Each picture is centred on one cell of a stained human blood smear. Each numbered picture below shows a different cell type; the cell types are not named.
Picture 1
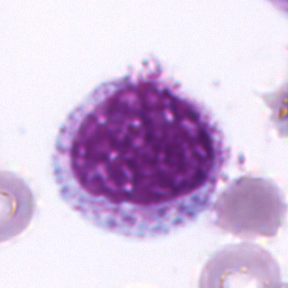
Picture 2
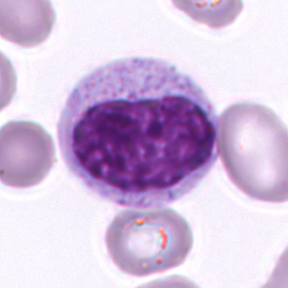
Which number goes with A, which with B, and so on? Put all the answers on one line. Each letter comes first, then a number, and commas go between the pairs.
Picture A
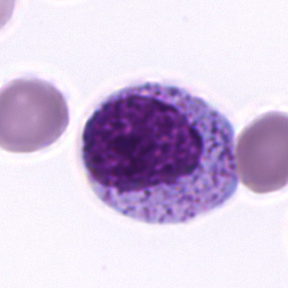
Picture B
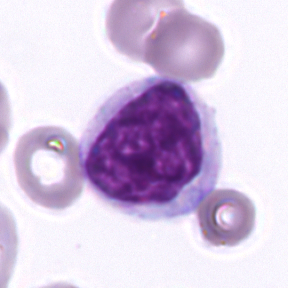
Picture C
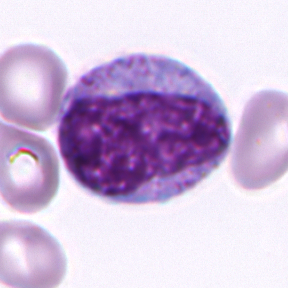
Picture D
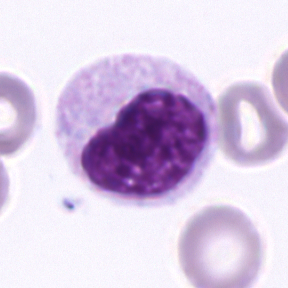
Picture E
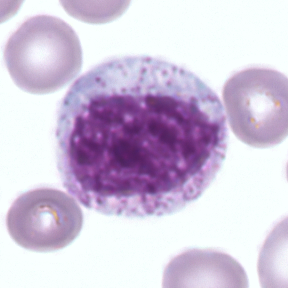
A 1, B 2, C 1, D 2, E 2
